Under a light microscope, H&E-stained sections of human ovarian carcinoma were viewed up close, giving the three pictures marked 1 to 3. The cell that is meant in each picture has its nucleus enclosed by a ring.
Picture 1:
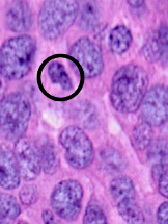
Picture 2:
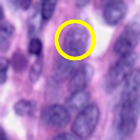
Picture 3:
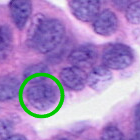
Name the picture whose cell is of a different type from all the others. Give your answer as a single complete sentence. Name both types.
Picture 1 differs, because its cell is a “macrophage or monocyte” and the rest are carcinoma cells.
